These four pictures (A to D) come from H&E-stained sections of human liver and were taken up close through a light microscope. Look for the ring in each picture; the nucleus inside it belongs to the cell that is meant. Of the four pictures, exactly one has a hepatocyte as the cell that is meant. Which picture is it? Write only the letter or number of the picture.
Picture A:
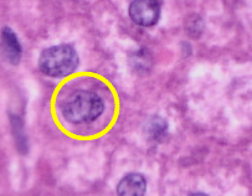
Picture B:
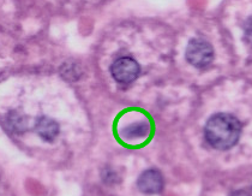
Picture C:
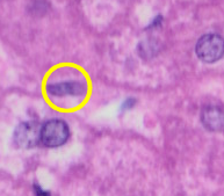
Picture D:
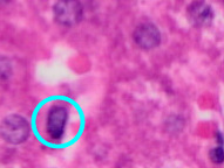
A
